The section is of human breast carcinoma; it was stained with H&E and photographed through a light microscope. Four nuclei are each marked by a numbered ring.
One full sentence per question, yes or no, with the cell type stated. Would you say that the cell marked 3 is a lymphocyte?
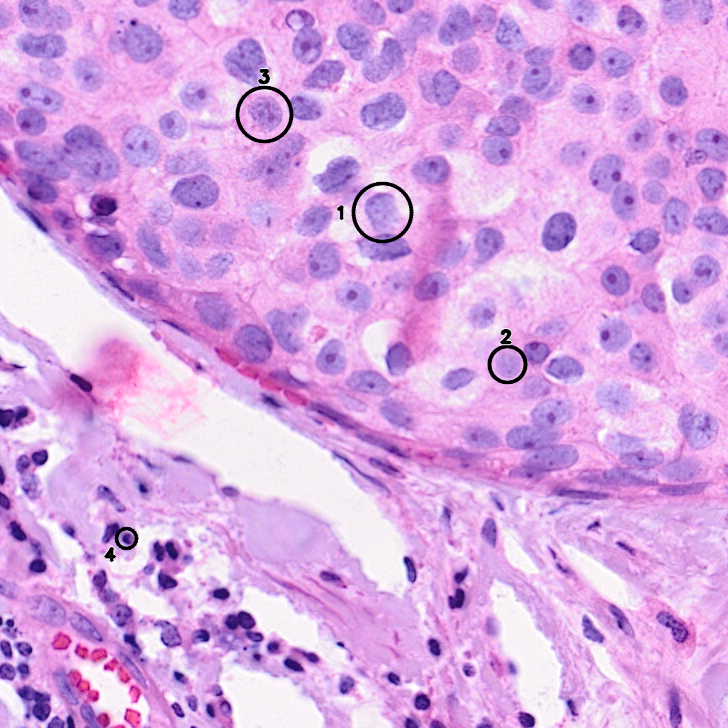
No, the cell bearing number 3 is not a lymphocyte but a carcinoma cell.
